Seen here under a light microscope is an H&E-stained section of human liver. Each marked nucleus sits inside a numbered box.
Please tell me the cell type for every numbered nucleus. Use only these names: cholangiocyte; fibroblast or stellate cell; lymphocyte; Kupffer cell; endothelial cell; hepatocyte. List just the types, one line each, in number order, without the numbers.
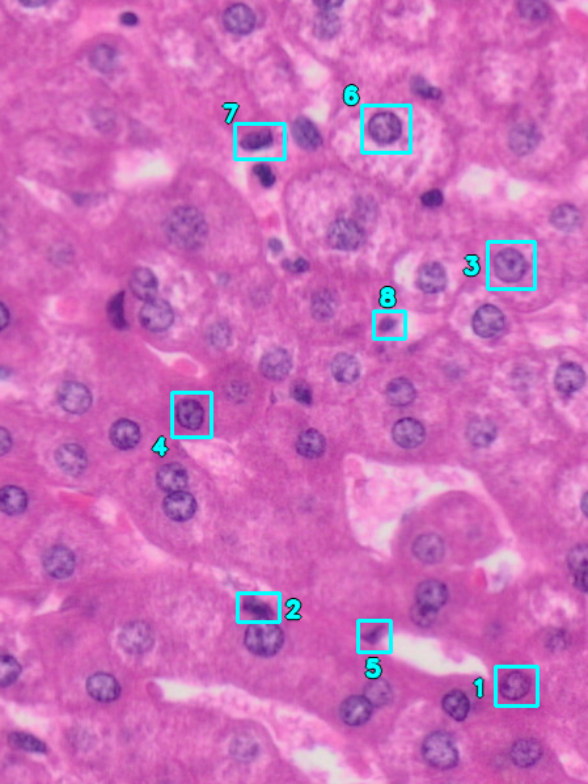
hepatocyte
fibroblast or stellate cell
hepatocyte
hepatocyte
fibroblast or stellate cell
hepatocyte
endothelial cell
lymphocyte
